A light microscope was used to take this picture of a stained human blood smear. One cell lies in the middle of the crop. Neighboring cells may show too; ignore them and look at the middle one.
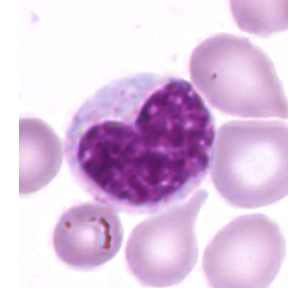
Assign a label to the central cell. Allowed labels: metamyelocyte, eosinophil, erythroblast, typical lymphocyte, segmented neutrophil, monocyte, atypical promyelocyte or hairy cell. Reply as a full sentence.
The centrally positioned cell in the crop represents a metamyelocyte.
